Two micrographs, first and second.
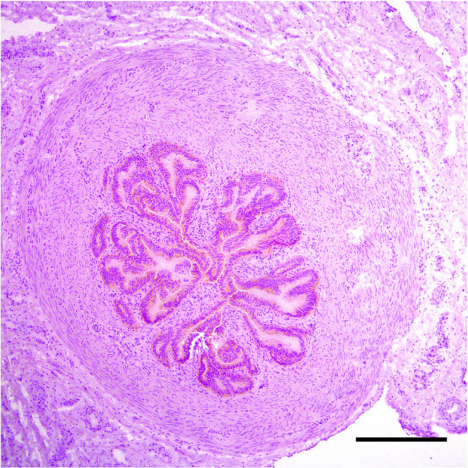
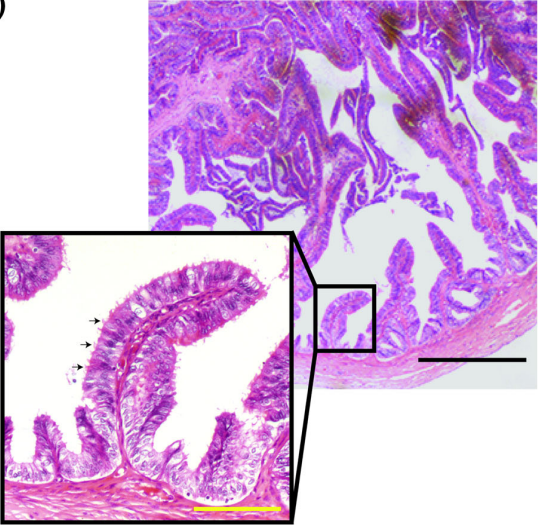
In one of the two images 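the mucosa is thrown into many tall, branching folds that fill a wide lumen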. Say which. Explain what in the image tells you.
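Second image: numerous long, branched folds crowd a wide lumen. First image: a few short folds project into a small lumen inside a thick wall.
Conclusion: the second image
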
